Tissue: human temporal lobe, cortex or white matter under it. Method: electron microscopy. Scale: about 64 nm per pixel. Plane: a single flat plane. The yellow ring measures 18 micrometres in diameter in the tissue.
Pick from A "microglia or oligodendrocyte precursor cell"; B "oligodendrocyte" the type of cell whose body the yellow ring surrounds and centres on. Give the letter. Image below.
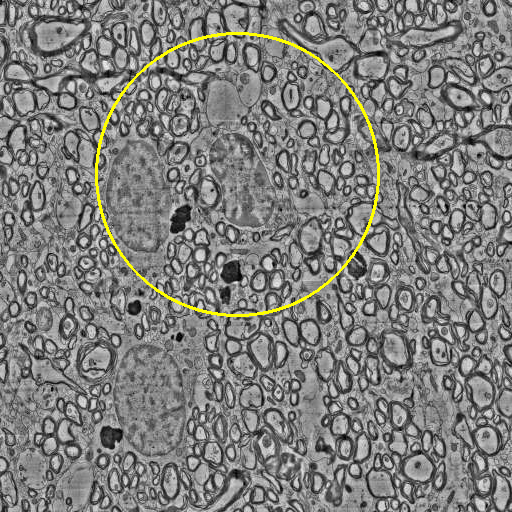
A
